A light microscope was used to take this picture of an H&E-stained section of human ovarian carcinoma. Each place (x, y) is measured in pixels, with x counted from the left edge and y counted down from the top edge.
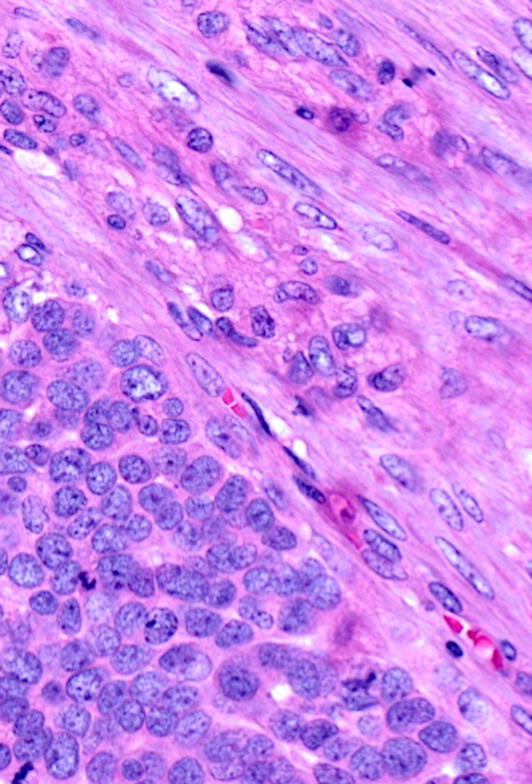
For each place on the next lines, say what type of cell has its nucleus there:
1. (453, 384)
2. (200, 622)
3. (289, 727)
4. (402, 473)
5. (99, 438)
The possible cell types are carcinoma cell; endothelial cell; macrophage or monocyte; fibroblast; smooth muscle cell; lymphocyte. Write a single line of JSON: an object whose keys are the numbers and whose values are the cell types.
{"1": "fibroblast", "2": "carcinoma cell", "3": "carcinoma cell", "4": "fibroblast", "5": "carcinoma cell"}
